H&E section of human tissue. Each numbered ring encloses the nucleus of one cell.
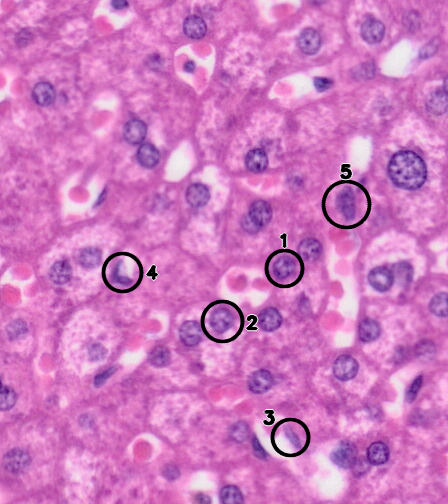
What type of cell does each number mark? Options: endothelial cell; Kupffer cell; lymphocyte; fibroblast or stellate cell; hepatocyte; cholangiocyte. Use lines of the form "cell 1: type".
cell 1: hepatocyte
cell 2: hepatocyte
cell 3: Kupffer cell
cell 4: endothelial cell
cell 5: fibroblast or stellate cell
